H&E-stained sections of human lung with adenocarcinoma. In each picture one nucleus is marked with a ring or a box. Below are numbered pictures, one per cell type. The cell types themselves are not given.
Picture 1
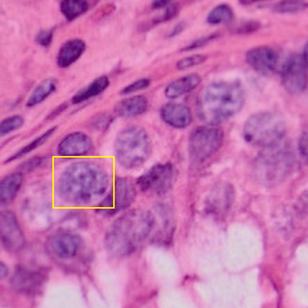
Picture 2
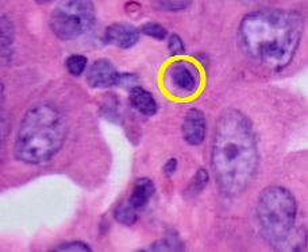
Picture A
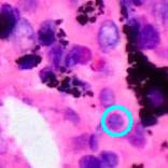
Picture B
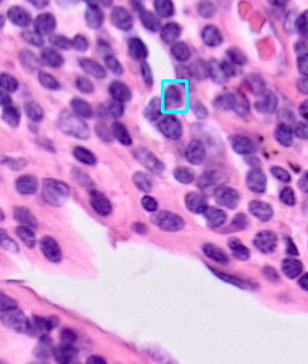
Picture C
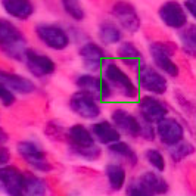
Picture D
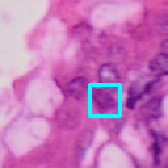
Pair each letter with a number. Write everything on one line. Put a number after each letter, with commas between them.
A 2, B 2, C 2, D 1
